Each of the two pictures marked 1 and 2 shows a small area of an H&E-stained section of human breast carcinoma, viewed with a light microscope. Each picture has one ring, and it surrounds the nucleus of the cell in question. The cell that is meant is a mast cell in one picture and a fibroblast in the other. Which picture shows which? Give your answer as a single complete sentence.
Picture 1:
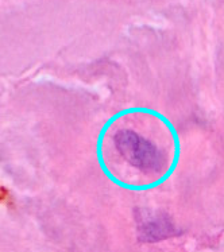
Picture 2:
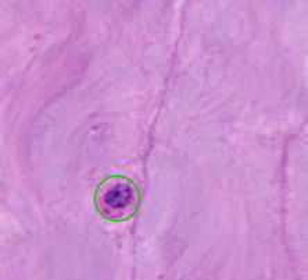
It is picture 1 that shows a fibroblast, and picture 2 that shows a mast cell.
